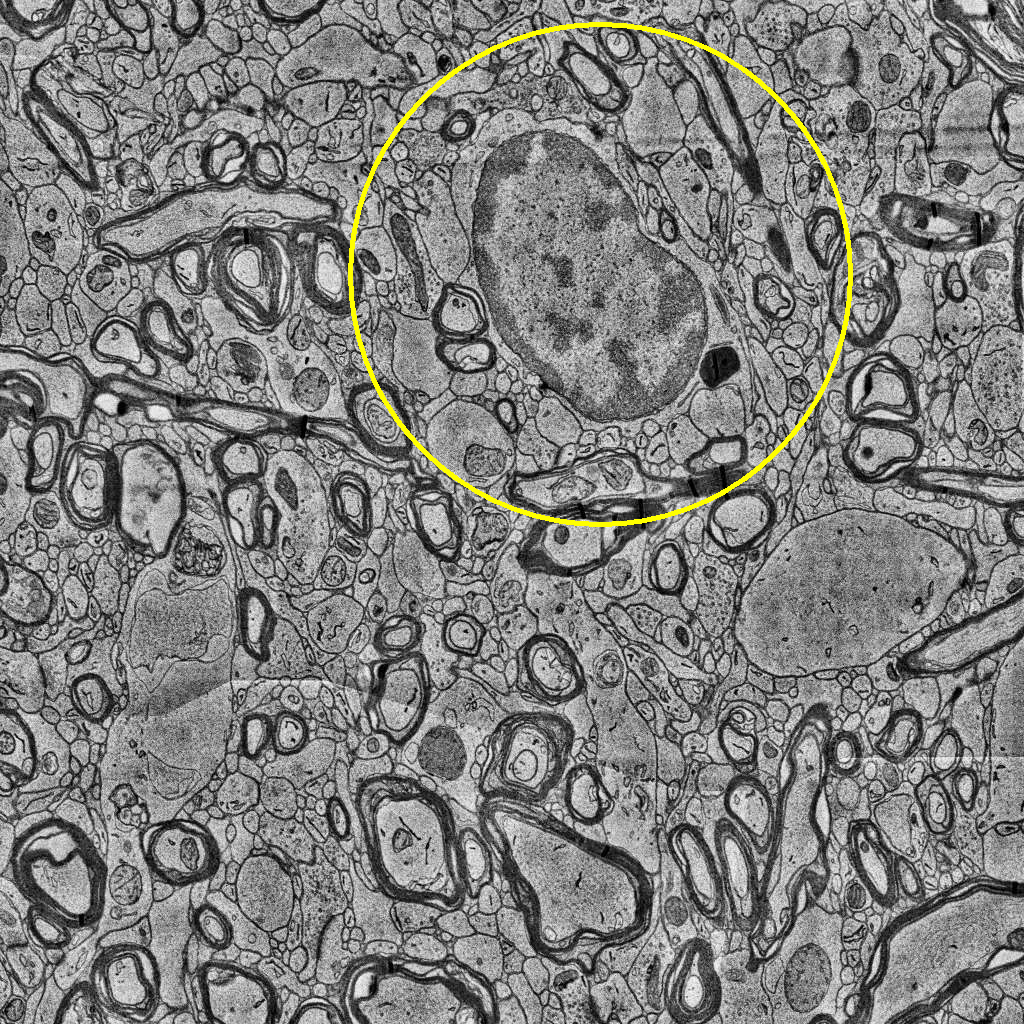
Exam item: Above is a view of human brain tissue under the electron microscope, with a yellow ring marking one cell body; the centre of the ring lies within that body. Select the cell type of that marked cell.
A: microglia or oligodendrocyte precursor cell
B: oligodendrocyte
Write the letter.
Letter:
A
